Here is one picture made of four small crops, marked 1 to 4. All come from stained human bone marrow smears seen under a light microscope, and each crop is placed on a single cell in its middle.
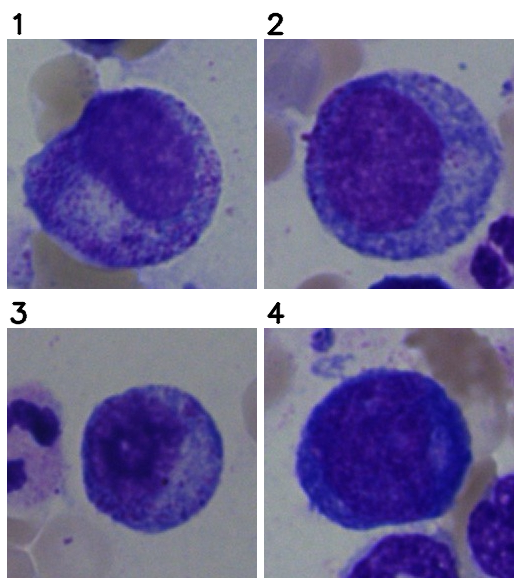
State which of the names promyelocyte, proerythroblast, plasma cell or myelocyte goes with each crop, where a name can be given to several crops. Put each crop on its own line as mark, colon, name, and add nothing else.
1: myelocyte
2: promyelocyte
3: promyelocyte
4: proerythroblast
